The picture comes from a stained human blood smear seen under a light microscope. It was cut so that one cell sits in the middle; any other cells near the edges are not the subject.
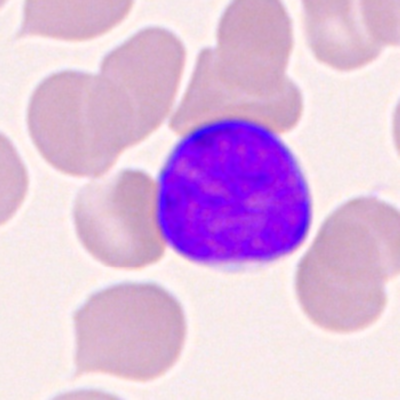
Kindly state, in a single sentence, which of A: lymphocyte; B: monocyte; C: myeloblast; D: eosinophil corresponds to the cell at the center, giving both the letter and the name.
The cell at the centre is a myeloblast, and option C accordingly is correct.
